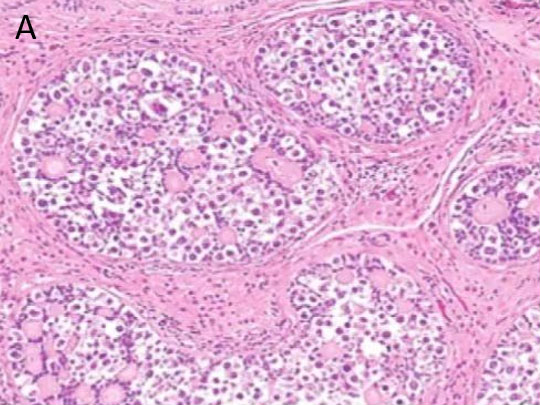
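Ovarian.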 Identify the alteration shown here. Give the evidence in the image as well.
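Rounded nests separated by fibrous stroma. Nests mix large clear cells with smaller dark cells. Pink round hyaline globules within the nests. The answer: gonadoblastoma.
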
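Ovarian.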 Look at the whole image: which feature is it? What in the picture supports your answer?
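Hyaline bodies. Round, homogeneous pink acellular globules lie within the cell nests. The globules are surrounded by a rim of small cells.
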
